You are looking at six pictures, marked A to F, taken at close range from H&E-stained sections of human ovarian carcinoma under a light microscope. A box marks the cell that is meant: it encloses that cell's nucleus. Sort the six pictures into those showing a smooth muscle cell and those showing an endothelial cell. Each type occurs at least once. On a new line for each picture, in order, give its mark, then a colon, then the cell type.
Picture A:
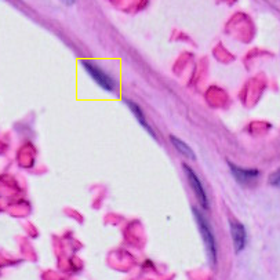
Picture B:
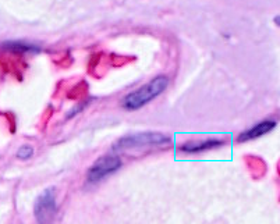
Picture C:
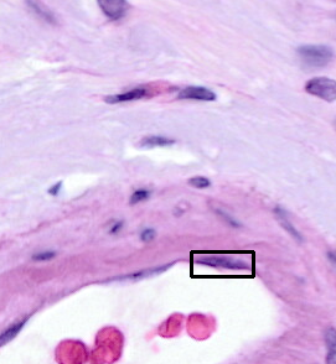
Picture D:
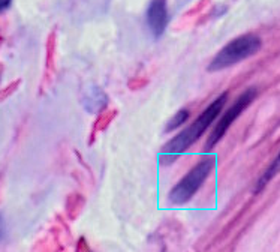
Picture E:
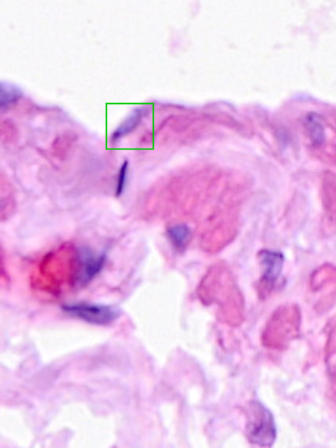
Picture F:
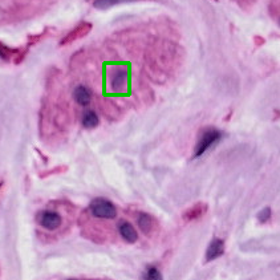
A: endothelial cell
B: endothelial cell
C: endothelial cell
D: smooth muscle cell
E: endothelial cell
F: smooth muscle cell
